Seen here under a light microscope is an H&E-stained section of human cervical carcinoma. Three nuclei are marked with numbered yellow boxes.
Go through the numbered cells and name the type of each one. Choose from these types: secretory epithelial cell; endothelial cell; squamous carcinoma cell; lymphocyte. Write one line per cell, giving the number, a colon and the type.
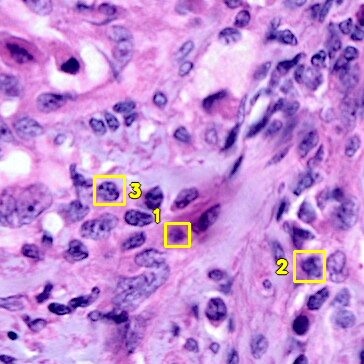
1: endothelial cell
2: lymphocyte
3: lymphocyte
